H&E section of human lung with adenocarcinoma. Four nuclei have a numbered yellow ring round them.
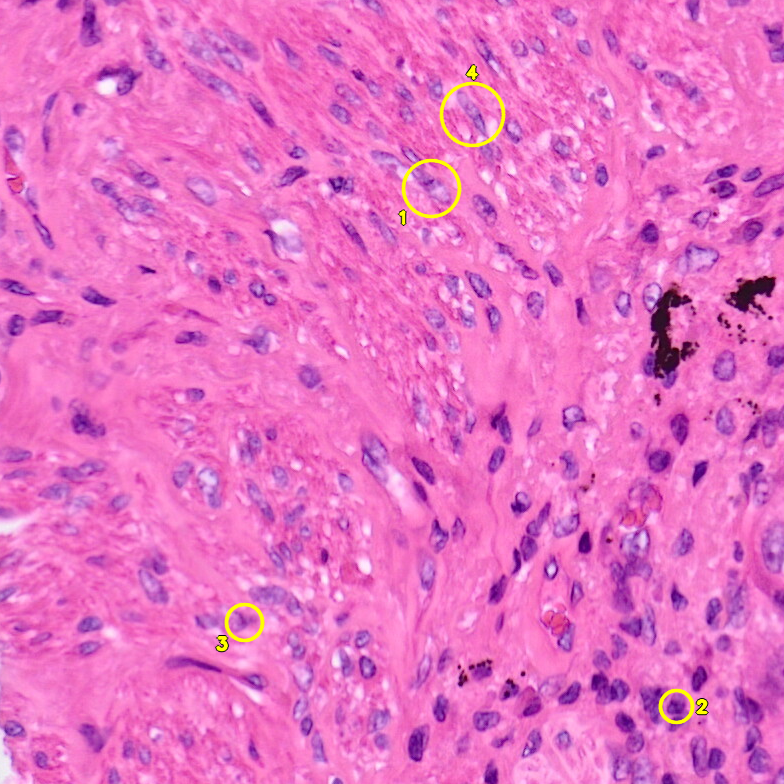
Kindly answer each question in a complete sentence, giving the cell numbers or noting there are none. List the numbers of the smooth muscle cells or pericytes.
The cells marked 1, 3 and 4 in the section are smooth muscle cells or pericytes.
